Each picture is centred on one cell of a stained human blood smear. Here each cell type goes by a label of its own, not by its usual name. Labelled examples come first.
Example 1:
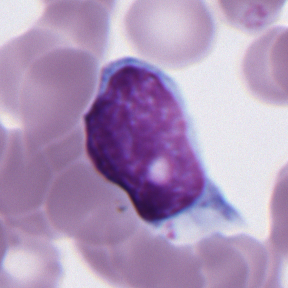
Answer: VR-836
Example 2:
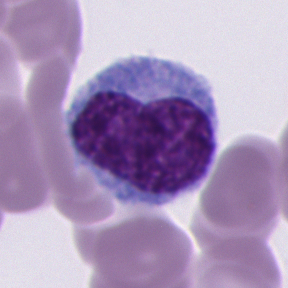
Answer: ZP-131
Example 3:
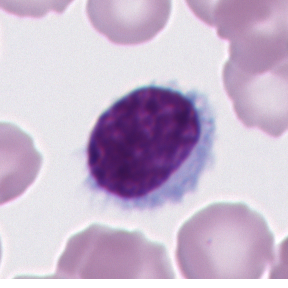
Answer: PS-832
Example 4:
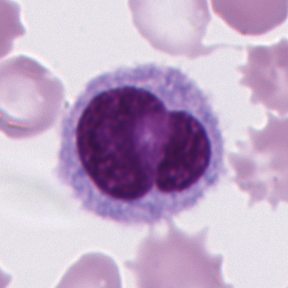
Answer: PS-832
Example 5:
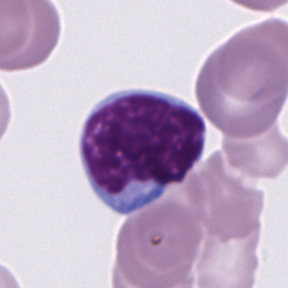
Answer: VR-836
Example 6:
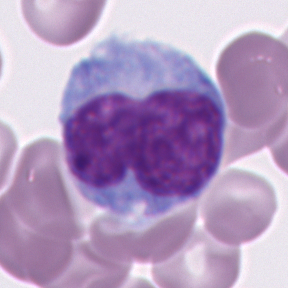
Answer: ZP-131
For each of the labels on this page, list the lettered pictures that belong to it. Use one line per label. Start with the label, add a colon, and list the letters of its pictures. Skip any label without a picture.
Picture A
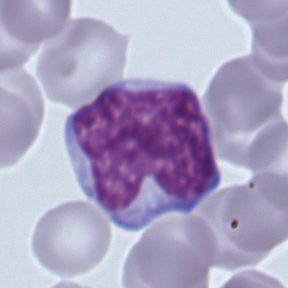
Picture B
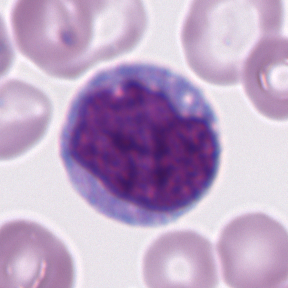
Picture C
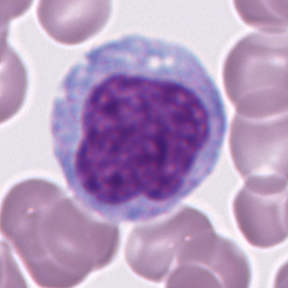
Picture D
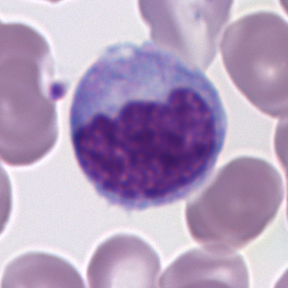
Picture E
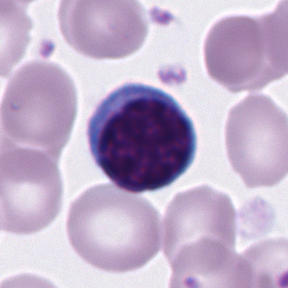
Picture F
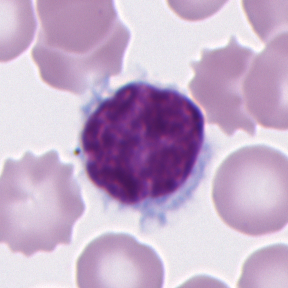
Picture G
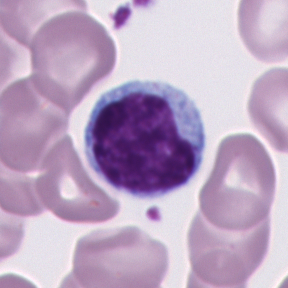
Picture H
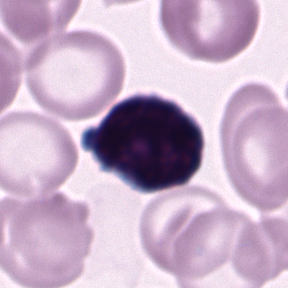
VR-836: A, E, G, H
ZP-131: B, C, D
PS-832: F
